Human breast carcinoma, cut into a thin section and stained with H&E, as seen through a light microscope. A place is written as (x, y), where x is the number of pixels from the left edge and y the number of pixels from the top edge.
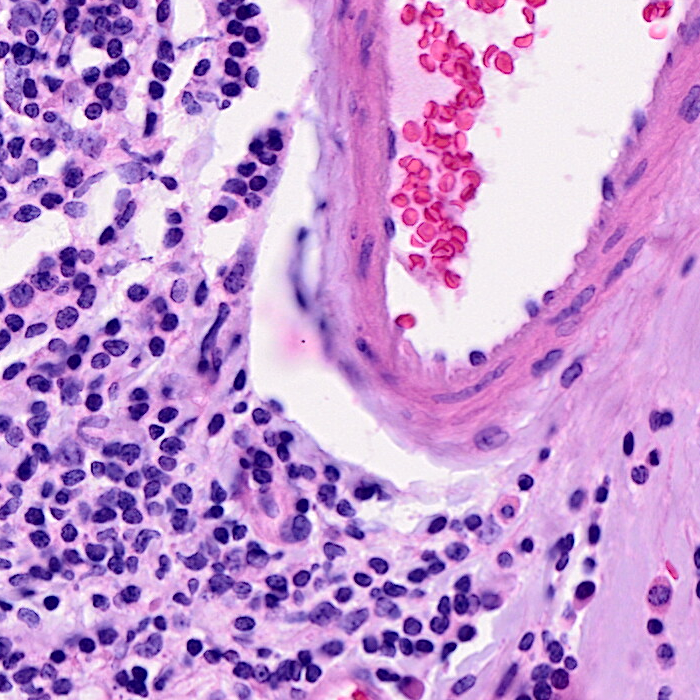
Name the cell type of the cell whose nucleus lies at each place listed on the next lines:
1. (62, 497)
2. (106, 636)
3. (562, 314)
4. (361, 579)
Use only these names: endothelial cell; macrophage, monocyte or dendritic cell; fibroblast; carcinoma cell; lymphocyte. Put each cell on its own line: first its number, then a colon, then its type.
1: lymphocyte
2: lymphocyte
3: endothelial cell
4: lymphocyte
